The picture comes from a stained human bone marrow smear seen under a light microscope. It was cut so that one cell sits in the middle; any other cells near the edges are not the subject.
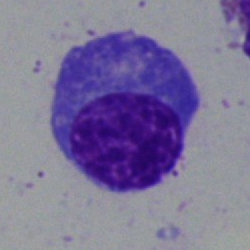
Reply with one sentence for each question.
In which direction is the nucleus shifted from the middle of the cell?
The nucleus lies toward the bottom of the cell.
